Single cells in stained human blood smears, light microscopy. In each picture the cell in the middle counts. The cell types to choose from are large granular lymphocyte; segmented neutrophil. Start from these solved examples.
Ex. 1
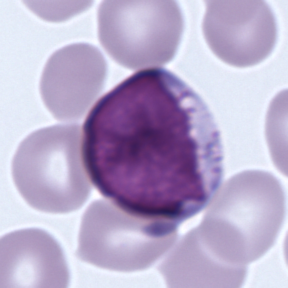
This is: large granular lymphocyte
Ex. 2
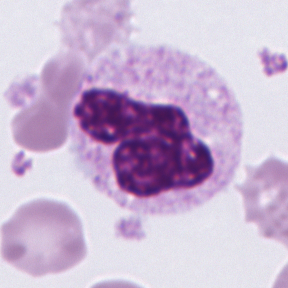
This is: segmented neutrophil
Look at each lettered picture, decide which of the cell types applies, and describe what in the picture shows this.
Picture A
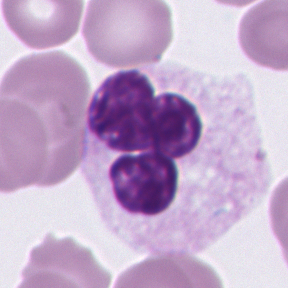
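segmented neutrophil. Reason: The cytoplasm is abundant and pale pinkish-lilac.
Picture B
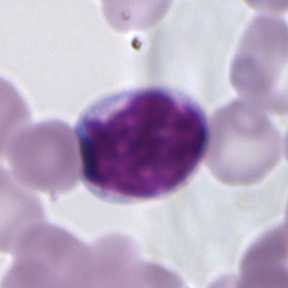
large granular lymphocyte. Reason: The cytoplasm forms only a narrow rim that is widest on the left side.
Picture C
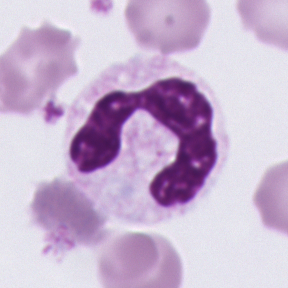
segmented neutrophil. Reason: The cytoplasm is abundant and pale pinkish-lilac.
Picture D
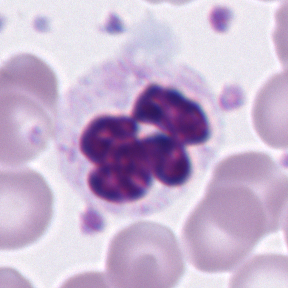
segmented neutrophil. Reason: The cytoplasm is abundant and pale pinkish-lilac.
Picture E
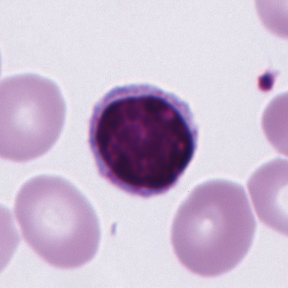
large granular lymphocyte. Reason: The cytoplasm forms only a thin rim around the nucleus.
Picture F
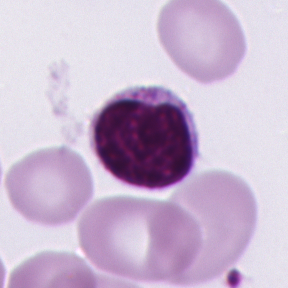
large granular lymphocyte. Reason: The cytoplasm forms a thin rim that is widest along the top of the cell.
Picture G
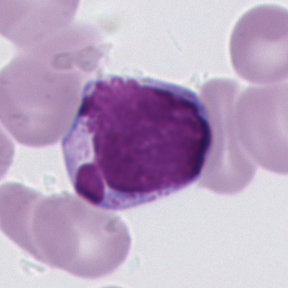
large granular lymphocyte. Reason: The cytoplasm is scant and forms a wider zone only on the left side of the cell.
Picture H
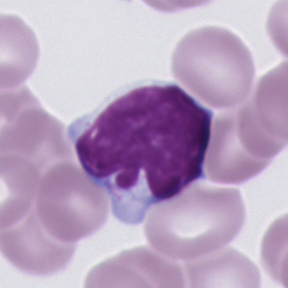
large granular lymphocyte. Reason: The cytoplasm is a scant pale blue rim, widest at the lower left.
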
